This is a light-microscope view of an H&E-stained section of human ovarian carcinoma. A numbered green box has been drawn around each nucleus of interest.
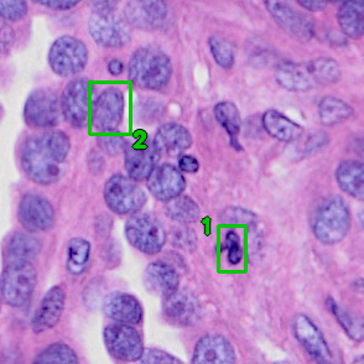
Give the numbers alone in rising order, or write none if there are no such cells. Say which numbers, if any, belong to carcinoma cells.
2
